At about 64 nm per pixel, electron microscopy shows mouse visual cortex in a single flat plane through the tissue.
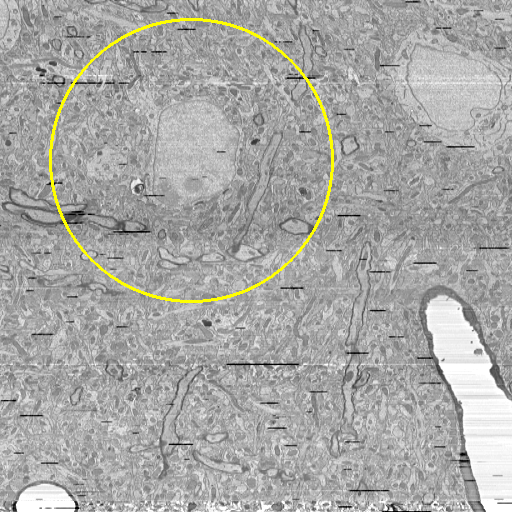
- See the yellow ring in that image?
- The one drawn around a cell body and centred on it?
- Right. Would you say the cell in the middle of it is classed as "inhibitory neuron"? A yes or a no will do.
no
